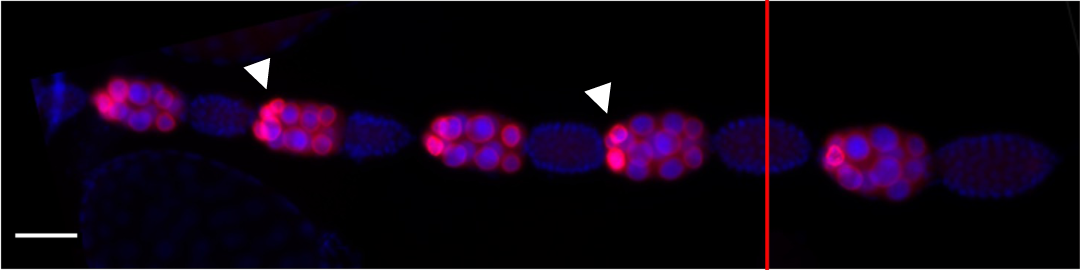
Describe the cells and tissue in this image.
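Ovariole with a linear string of developing egg chambers. Groups of nurse cells with large round blue nuclei and red cytoplasm alternate with oval compartments outlined by small blue nuclei. The red cytoplasm is strongest in the nurse cell clusters, while the oval compartments are mostly blue. Chambers grow larger along the string. Faint blue tissue lies below the ovariole.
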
